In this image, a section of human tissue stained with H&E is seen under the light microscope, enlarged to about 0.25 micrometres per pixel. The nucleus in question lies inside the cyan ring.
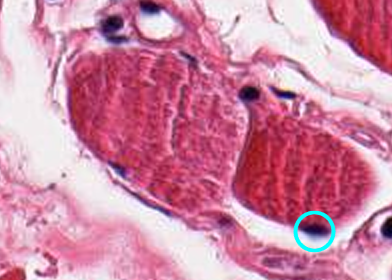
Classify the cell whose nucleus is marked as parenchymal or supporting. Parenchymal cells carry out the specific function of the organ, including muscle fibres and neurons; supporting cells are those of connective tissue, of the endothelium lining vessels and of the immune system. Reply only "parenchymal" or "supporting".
parenchymal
